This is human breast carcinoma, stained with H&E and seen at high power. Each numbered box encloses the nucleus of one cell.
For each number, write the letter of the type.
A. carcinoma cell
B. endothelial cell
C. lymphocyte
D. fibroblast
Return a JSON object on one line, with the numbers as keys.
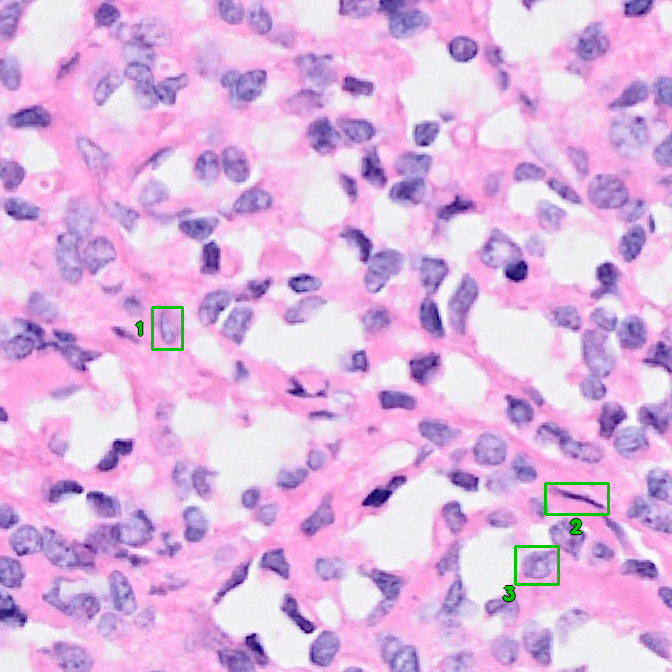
{"1": "B", "2": "D", "3": "A"}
